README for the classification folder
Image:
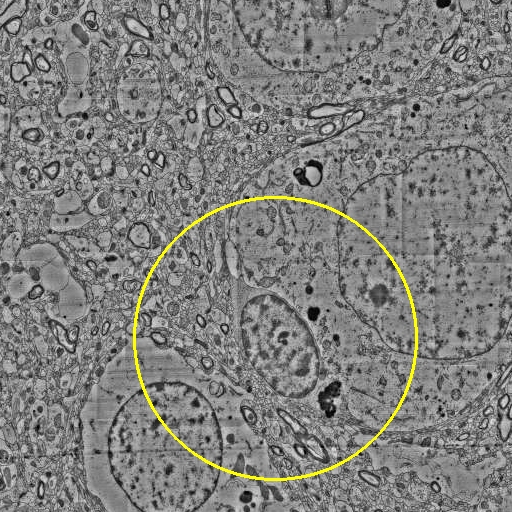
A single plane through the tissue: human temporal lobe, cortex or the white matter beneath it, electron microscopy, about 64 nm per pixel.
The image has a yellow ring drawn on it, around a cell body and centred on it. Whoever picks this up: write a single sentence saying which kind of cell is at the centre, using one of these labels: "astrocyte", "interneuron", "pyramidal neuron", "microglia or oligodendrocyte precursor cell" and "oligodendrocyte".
This cell body is that of an oligodendrocyte.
